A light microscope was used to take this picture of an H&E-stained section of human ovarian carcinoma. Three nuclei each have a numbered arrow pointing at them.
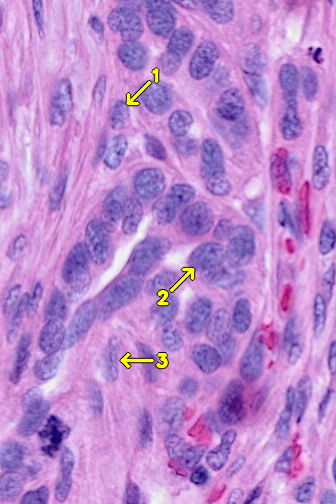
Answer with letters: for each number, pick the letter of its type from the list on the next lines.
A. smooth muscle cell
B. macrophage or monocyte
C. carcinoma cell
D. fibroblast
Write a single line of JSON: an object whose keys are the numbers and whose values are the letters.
{"1": "D", "2": "C", "3": "D"}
